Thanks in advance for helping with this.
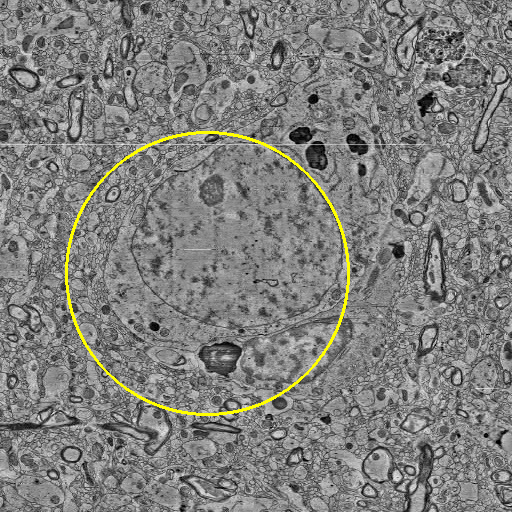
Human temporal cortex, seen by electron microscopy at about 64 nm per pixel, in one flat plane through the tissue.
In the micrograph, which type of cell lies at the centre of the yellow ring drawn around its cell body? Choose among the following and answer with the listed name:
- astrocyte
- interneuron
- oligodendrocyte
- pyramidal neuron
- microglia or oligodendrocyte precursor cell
pyramidal neuron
